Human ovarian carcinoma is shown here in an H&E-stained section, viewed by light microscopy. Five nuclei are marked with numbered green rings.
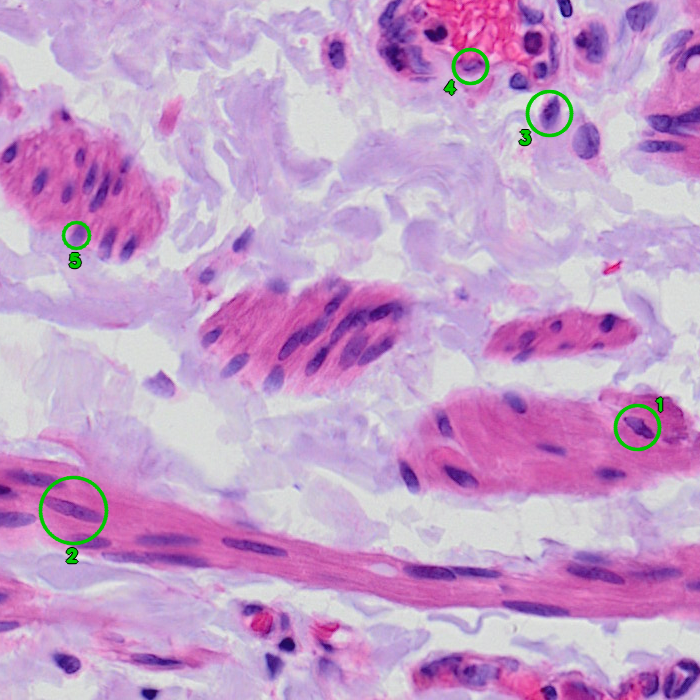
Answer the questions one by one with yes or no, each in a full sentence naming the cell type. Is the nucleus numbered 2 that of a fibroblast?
No, the cell under number 2 is a smooth muscle cell instead of a fibroblast.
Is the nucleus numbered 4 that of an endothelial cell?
Yes, cell 4 among the marked cells is an endothelial cell.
